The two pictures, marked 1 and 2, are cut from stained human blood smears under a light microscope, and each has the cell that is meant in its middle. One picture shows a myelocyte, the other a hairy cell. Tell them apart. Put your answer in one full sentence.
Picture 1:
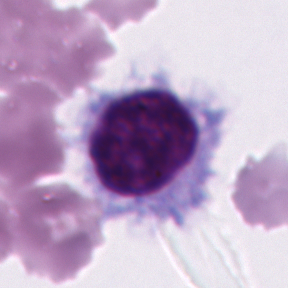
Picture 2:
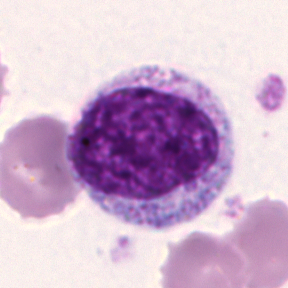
The cell in picture 1 is a hairy cell, and the one in picture 2 is a myelocyte.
